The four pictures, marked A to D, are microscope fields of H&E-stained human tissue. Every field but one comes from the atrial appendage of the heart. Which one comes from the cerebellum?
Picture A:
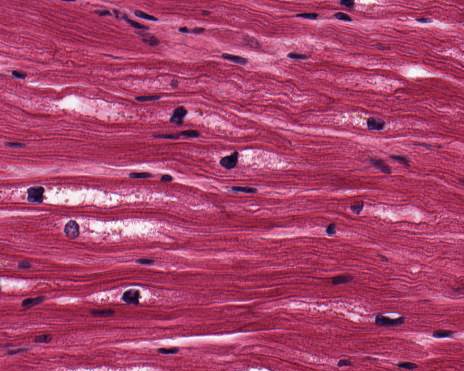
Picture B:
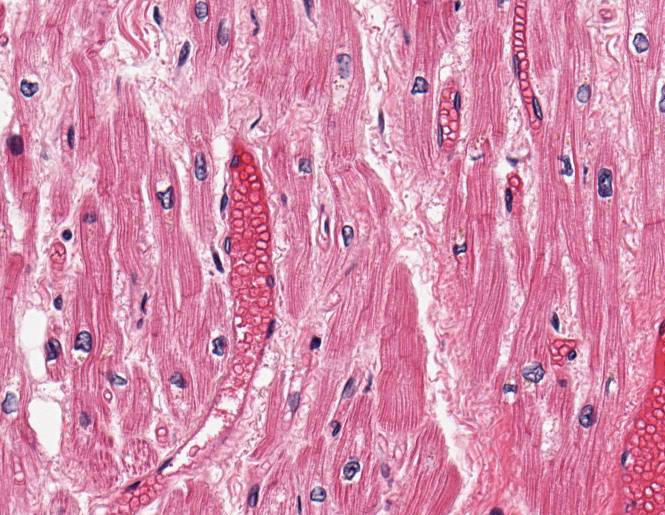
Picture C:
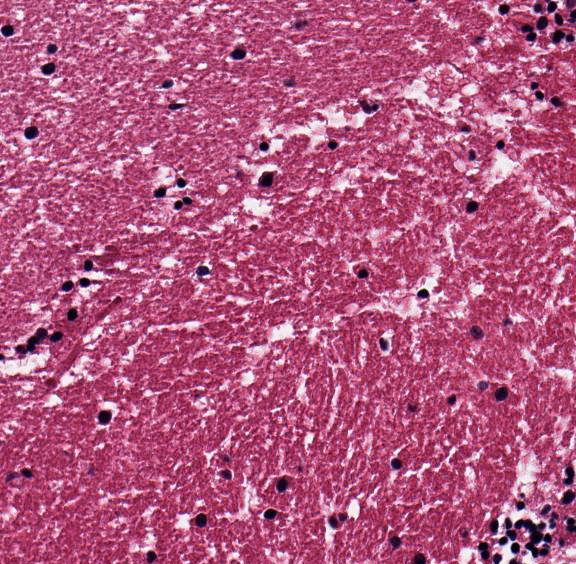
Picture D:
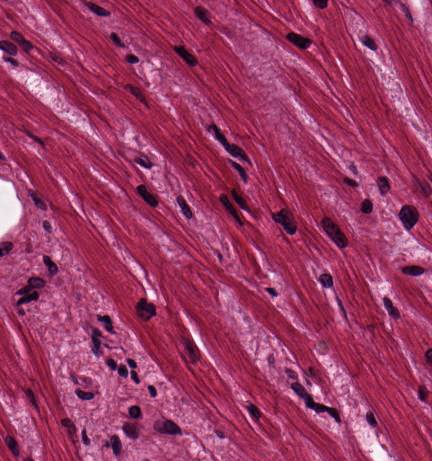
C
